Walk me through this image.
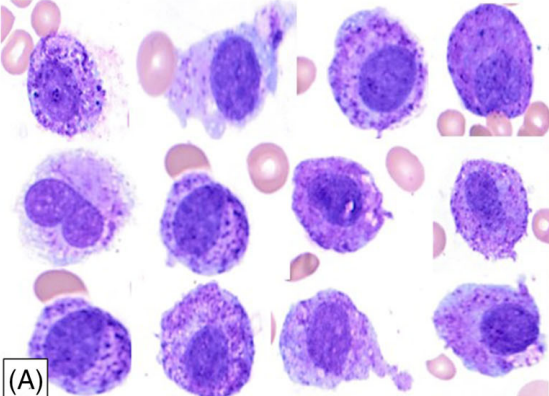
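Twelve atypical mast cells from a blood smear are set side by side among pale pink red cells. They are medium to large, several times the size of a red cell, with round to oval outlines and ample pale bluish cytoplasm. The cytoplasm is strewn with coarse dark purple granules, which in a few cells crowd over the nucleus and partly hide it. Nuclei are mostly round and central or slightly eccentric, with fine, immature chromatin; one cell shows a nucleus of two lobes. Some cells have irregular, frayed cytoplasmic edges.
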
